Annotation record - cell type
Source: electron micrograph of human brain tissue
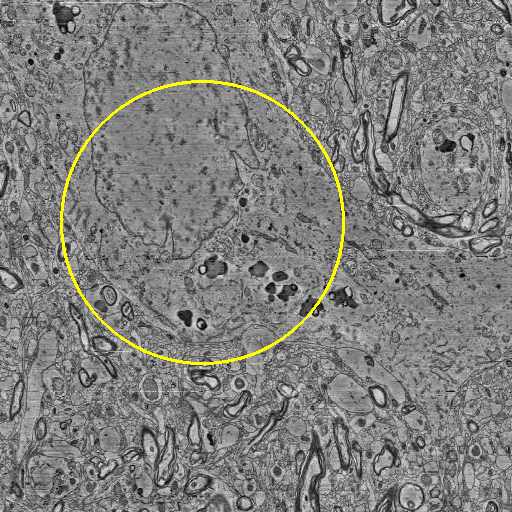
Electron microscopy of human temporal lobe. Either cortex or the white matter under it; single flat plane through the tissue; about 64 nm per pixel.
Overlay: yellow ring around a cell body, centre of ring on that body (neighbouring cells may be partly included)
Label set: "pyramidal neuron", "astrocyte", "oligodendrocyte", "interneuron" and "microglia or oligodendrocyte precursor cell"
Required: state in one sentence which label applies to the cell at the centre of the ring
This cell should be labelled as a pyramidal neuron.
